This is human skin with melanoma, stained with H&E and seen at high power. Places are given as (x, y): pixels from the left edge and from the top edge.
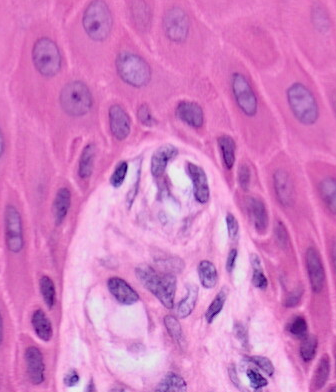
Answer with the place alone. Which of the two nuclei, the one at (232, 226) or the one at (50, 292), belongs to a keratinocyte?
(50, 292)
